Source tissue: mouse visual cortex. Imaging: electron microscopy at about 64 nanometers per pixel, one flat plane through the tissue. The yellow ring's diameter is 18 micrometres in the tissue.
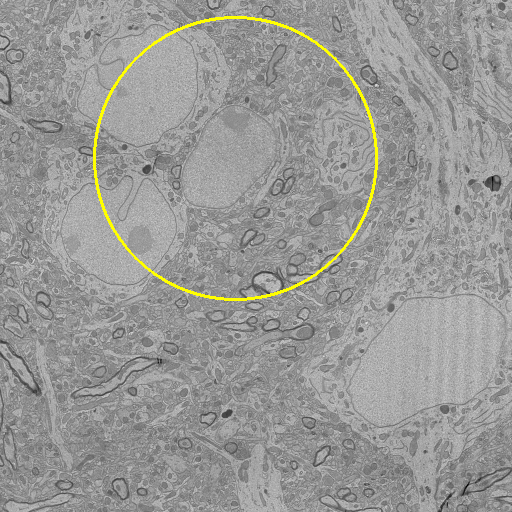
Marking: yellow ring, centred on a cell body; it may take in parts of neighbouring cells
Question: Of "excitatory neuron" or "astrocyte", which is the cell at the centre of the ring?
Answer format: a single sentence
The ring surrounds the body of an astrocyte.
